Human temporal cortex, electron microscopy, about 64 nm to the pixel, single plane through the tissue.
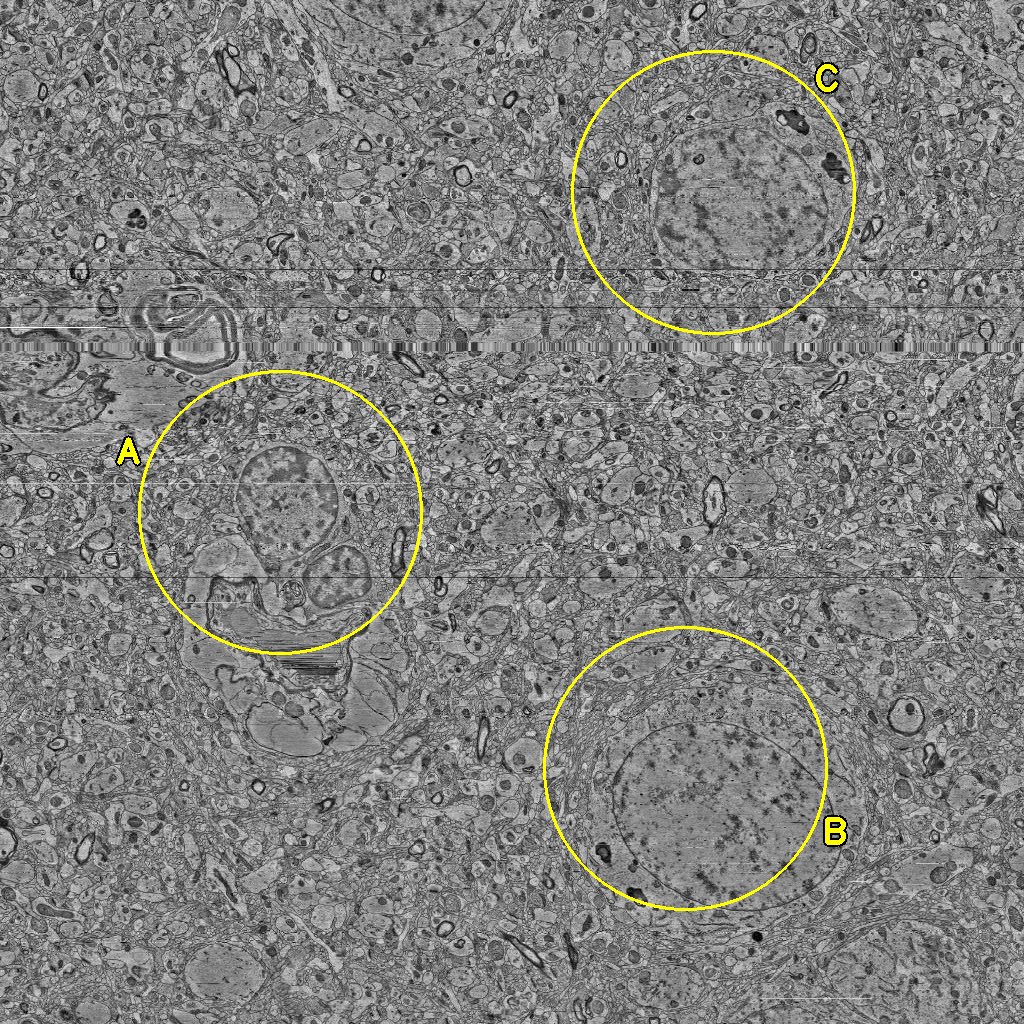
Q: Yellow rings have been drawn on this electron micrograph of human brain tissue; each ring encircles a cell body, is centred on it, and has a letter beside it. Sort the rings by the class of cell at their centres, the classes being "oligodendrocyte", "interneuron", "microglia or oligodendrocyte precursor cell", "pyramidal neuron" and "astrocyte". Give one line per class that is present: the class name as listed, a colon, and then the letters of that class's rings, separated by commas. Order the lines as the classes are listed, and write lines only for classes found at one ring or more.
oligodendrocyte: A
interneuron: C
pyramidal neuron: B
